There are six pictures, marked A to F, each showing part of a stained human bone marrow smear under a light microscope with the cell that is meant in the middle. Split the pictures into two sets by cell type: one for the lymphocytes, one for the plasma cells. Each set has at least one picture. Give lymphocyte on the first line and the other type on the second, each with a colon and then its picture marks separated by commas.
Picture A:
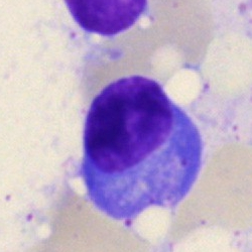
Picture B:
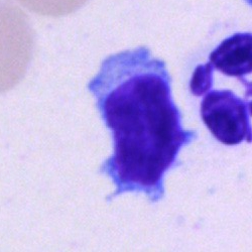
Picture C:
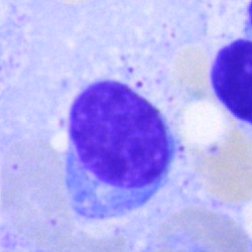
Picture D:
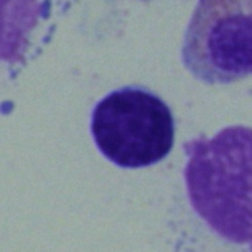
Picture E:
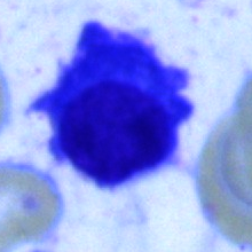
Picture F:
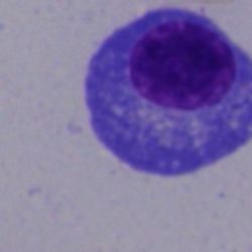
lymphocyte: B, C, D
plasma cell: A, E, F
